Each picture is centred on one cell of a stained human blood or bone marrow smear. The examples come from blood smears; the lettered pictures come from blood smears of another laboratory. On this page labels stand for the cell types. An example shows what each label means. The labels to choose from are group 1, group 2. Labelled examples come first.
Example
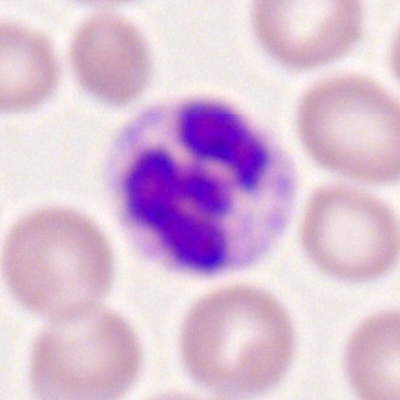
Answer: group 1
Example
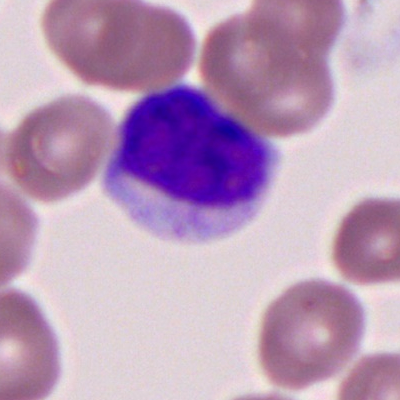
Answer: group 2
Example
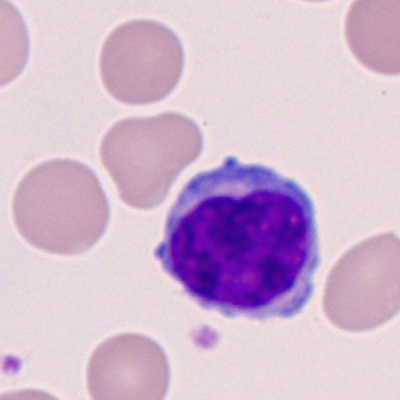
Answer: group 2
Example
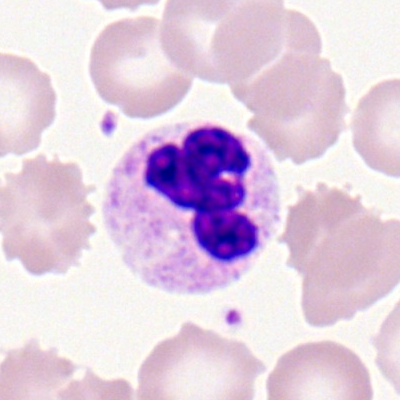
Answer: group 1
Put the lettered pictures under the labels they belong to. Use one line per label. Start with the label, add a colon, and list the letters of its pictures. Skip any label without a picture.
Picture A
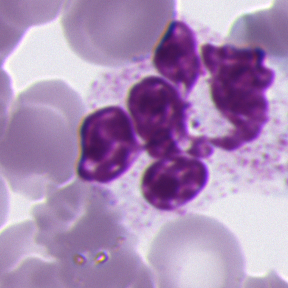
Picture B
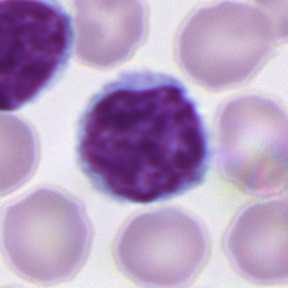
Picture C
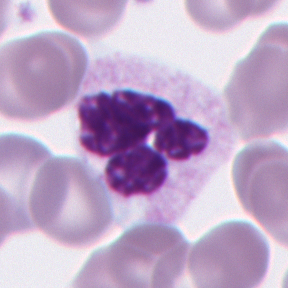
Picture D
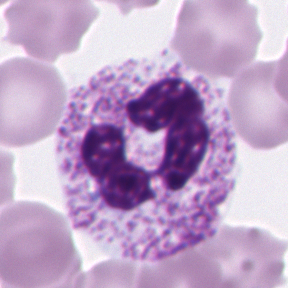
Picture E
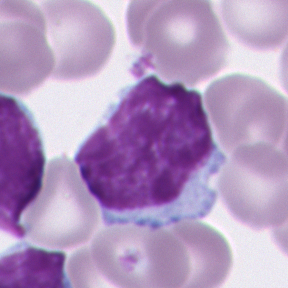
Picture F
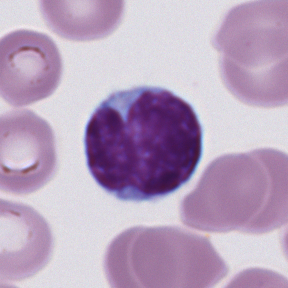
group 1: A, C, D
group 2: B, E, F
